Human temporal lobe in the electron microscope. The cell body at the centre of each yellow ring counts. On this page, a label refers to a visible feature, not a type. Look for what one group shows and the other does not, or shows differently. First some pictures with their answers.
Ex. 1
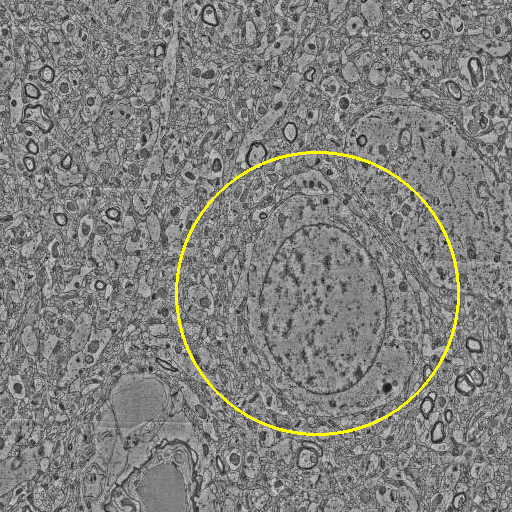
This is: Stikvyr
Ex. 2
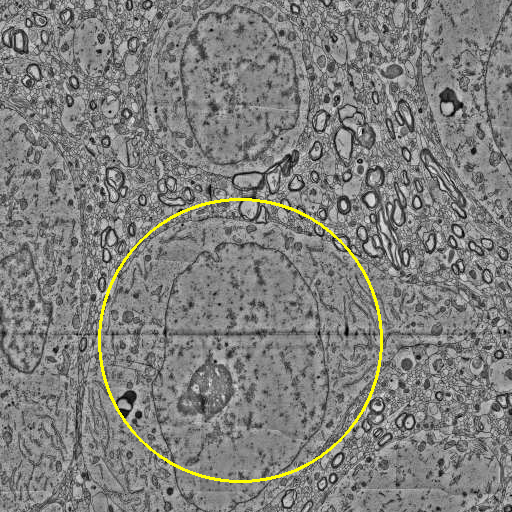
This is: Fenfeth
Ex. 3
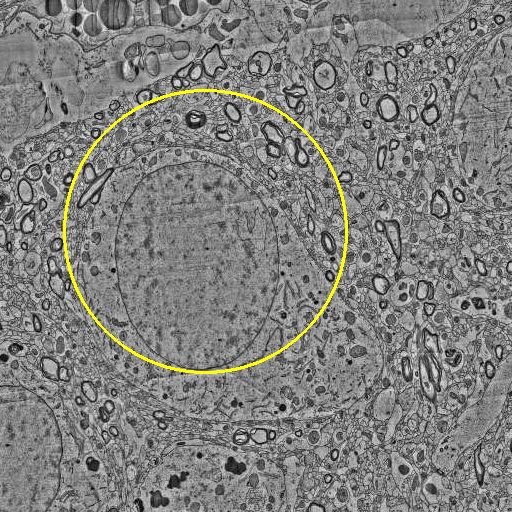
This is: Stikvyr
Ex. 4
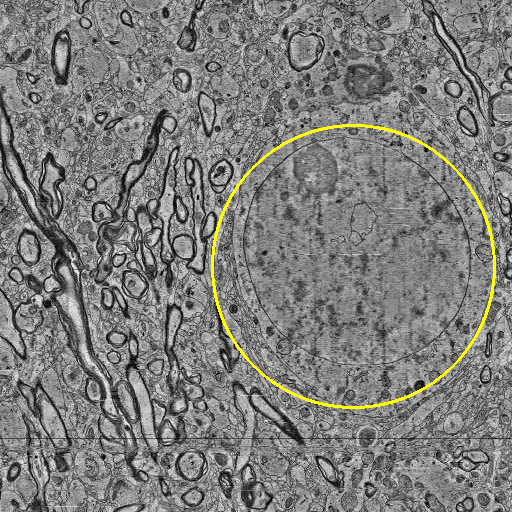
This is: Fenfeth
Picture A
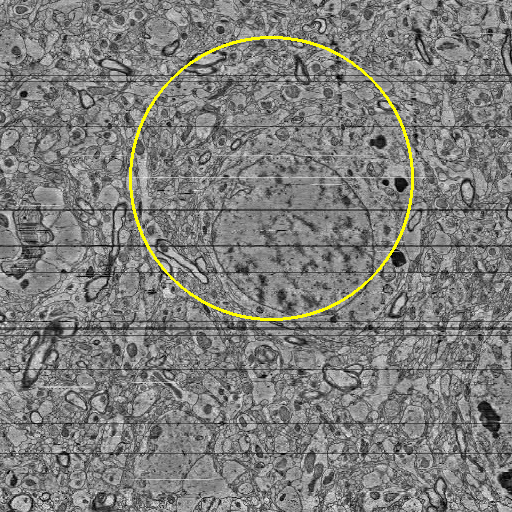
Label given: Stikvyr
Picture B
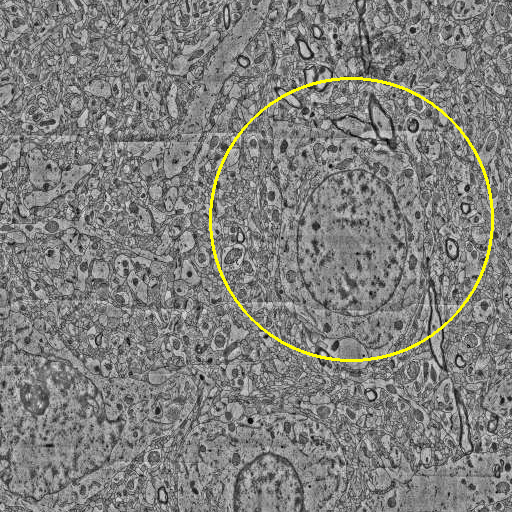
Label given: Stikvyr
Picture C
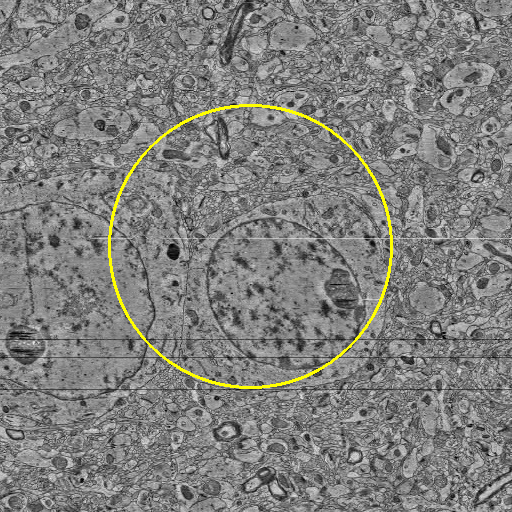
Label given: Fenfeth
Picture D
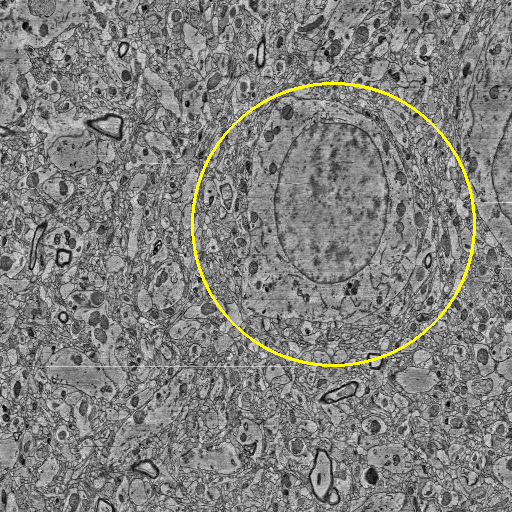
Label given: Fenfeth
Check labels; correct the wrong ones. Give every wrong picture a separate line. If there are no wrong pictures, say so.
D should be Stikvyr, not Fenfeth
